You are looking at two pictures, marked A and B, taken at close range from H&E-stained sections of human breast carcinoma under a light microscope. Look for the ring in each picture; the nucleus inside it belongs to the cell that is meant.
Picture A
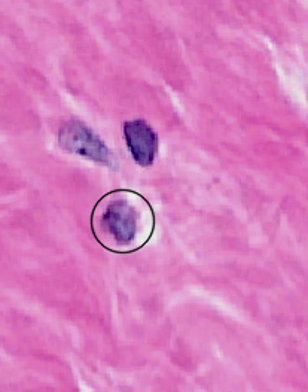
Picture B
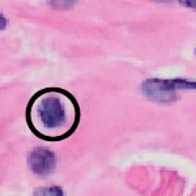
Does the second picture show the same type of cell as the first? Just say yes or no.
yes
